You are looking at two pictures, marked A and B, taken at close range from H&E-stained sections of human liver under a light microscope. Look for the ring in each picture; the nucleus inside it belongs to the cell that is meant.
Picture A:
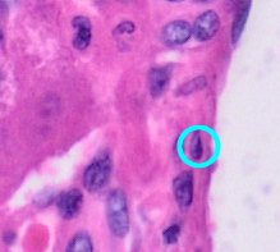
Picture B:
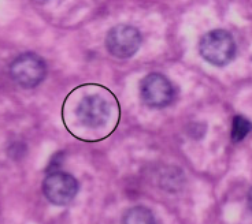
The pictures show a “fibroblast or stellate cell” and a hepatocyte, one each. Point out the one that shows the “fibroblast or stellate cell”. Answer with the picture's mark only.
A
